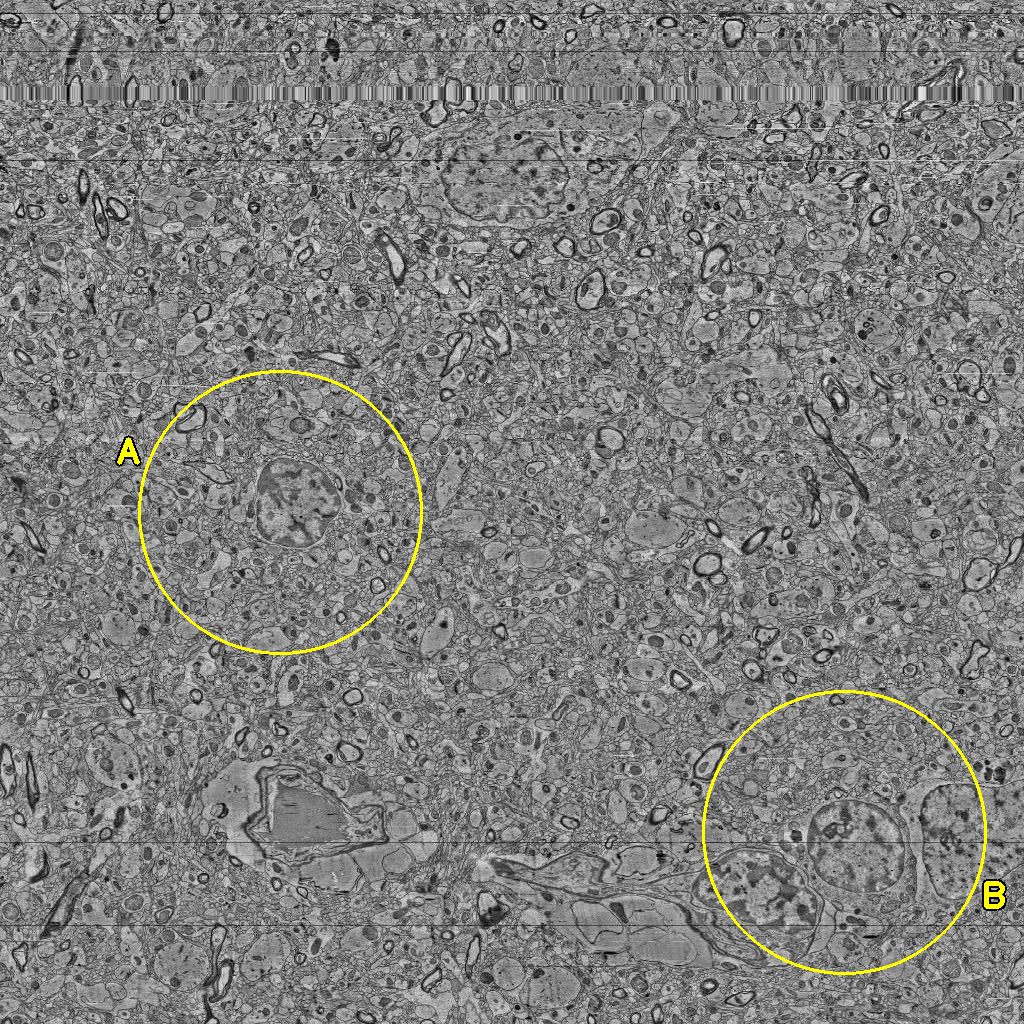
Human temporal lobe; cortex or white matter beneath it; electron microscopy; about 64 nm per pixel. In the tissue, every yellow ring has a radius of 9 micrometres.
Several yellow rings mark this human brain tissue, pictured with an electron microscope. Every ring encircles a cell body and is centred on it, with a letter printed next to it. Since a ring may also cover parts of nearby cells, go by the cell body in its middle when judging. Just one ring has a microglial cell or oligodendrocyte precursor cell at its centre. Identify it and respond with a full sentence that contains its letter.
The answer is ring A, whose centre rests on the cell asked for.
